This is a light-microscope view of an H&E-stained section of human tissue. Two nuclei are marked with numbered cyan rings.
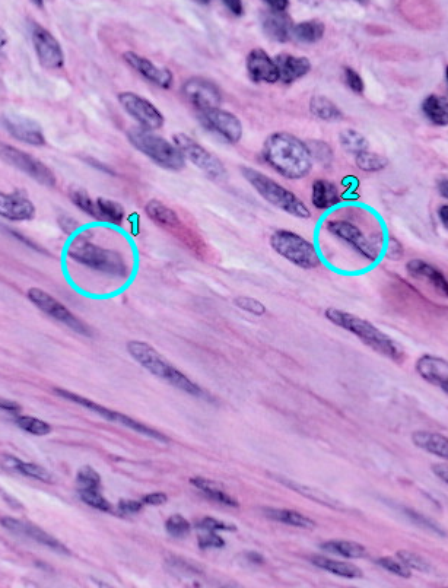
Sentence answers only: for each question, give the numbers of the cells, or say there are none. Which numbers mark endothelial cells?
The cell bearing the number 2 is an endothelial cell, unlike the rest of the numbered cells.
